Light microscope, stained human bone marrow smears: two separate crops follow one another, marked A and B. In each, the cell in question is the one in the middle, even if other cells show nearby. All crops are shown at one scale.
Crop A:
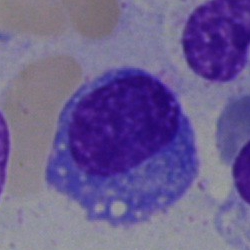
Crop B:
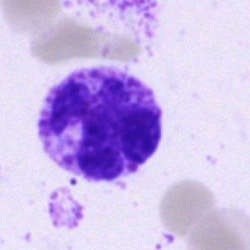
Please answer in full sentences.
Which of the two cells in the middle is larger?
Crop A holds the larger cell; it covers about 1.5 times the area of the cell in crop B.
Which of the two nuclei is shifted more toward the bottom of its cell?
Seen within its cell, the nucleus in crop B lies further toward the bottom.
